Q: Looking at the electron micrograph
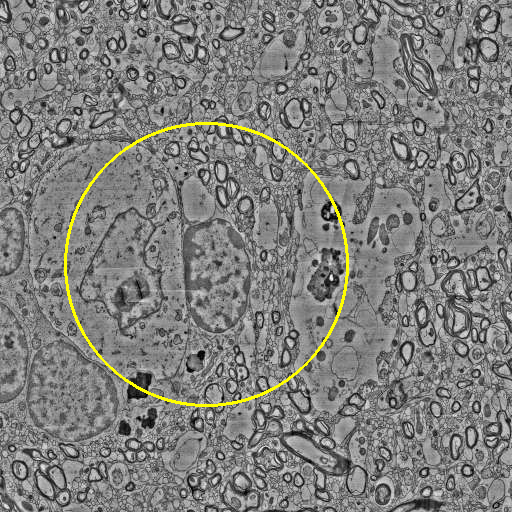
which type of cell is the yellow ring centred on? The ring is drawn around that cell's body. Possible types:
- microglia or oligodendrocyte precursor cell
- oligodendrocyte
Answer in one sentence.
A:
The yellow ring is centred on a microglial cell or oligodendrocyte precursor cell.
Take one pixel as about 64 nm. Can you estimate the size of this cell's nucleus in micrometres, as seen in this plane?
In this plane the nucleus is clearly longer than it is wide, at approximately 7 by 4 micrometres.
